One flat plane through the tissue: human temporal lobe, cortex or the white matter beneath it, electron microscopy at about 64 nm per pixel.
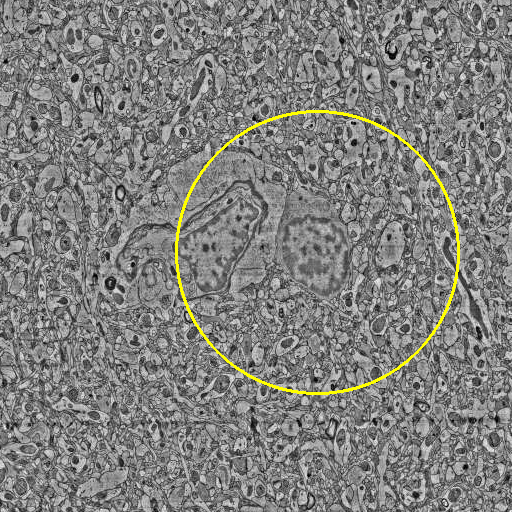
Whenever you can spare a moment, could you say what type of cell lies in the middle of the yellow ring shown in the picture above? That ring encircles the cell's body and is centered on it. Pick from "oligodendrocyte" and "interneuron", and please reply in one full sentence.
The cell whose body sits at the middle of the yellow ring is an oligodendrocyte.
